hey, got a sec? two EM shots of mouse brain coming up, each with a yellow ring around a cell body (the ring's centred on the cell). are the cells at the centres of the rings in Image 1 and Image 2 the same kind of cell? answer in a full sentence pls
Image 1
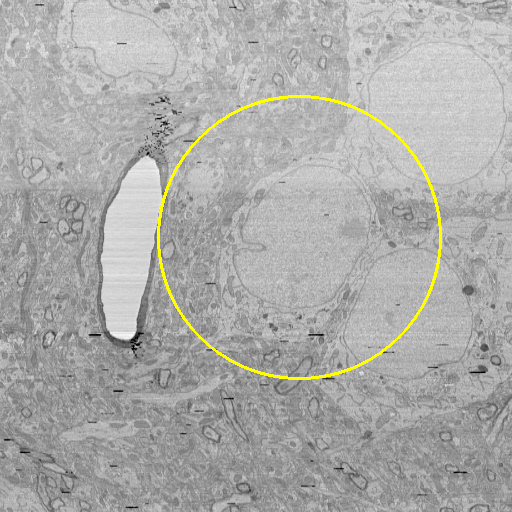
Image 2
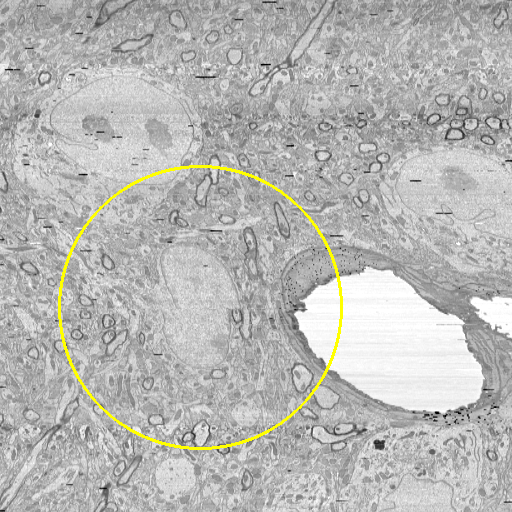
No, they are two kinds of cell.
